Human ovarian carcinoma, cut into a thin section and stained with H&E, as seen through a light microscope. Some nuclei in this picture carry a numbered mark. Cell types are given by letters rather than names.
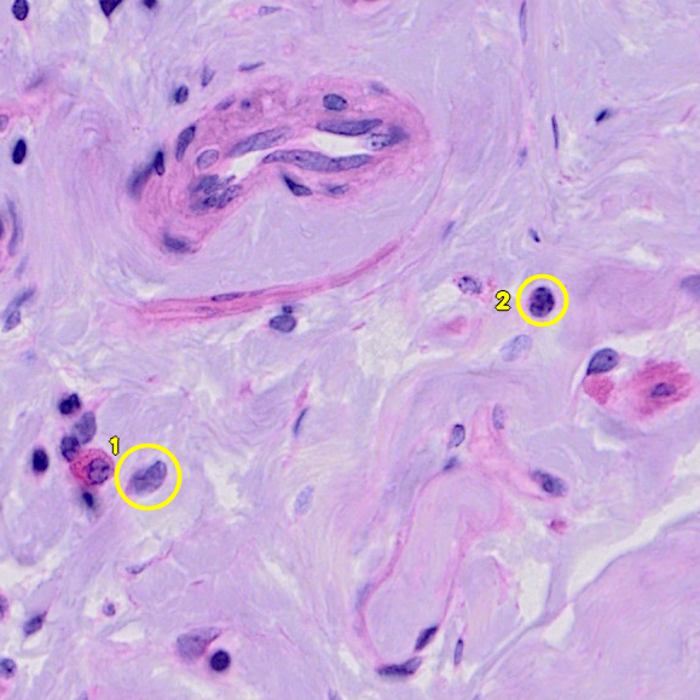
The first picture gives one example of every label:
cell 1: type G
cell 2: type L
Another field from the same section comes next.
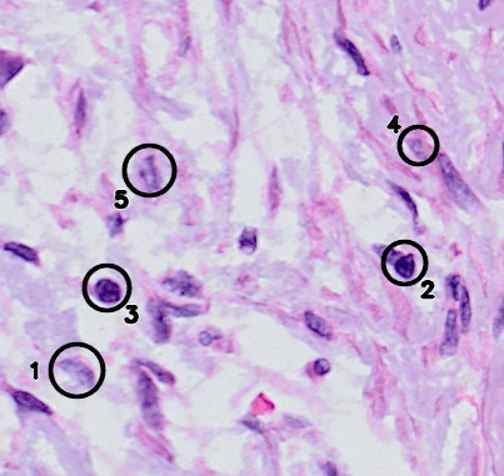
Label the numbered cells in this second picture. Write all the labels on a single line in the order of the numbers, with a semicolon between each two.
type G; type L; type L; type G; type G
